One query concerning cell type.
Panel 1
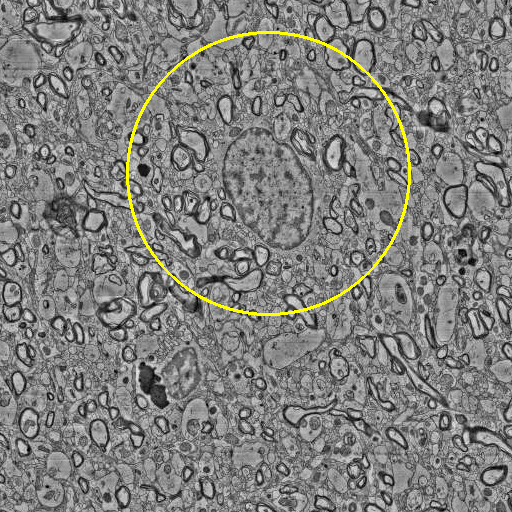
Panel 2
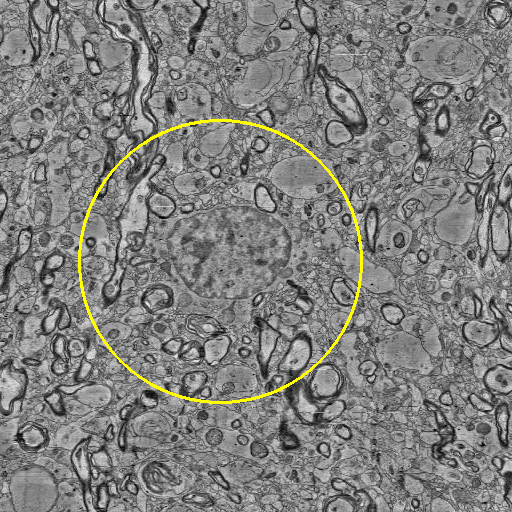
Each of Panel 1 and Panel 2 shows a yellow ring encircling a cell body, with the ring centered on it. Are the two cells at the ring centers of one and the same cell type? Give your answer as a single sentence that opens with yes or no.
Yes, the cell centered in Panel 1 and the one in Panel 2 share a type.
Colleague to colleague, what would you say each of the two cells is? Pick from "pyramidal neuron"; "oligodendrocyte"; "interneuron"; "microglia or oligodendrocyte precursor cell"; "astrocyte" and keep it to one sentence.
The ring centre holds an oligodendrocyte in each of the two pictures.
